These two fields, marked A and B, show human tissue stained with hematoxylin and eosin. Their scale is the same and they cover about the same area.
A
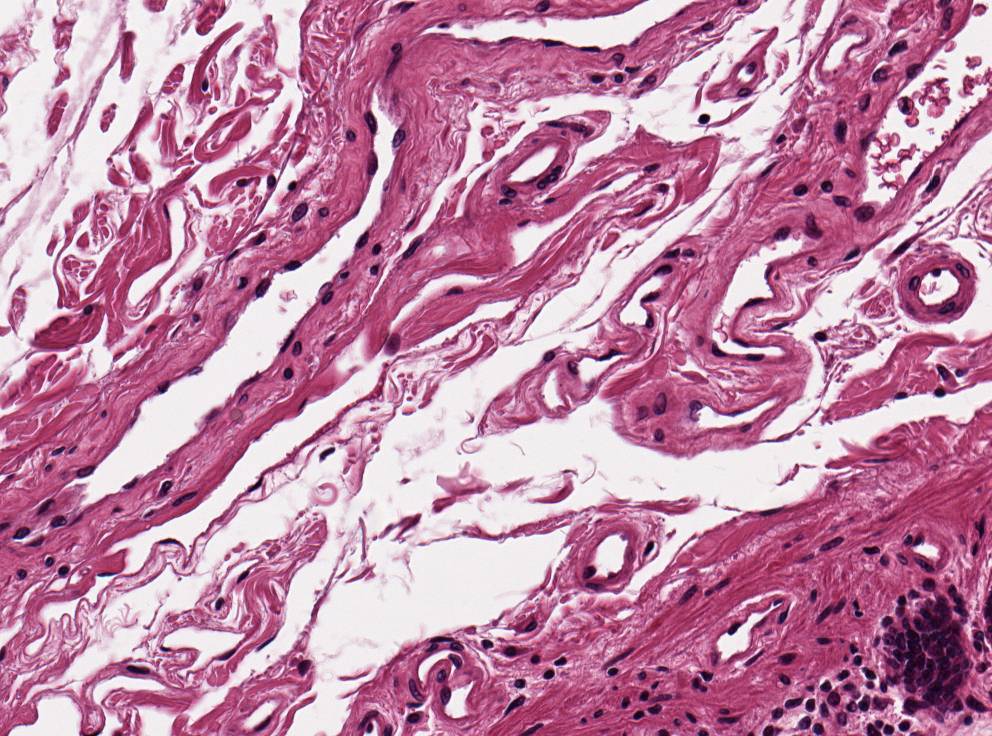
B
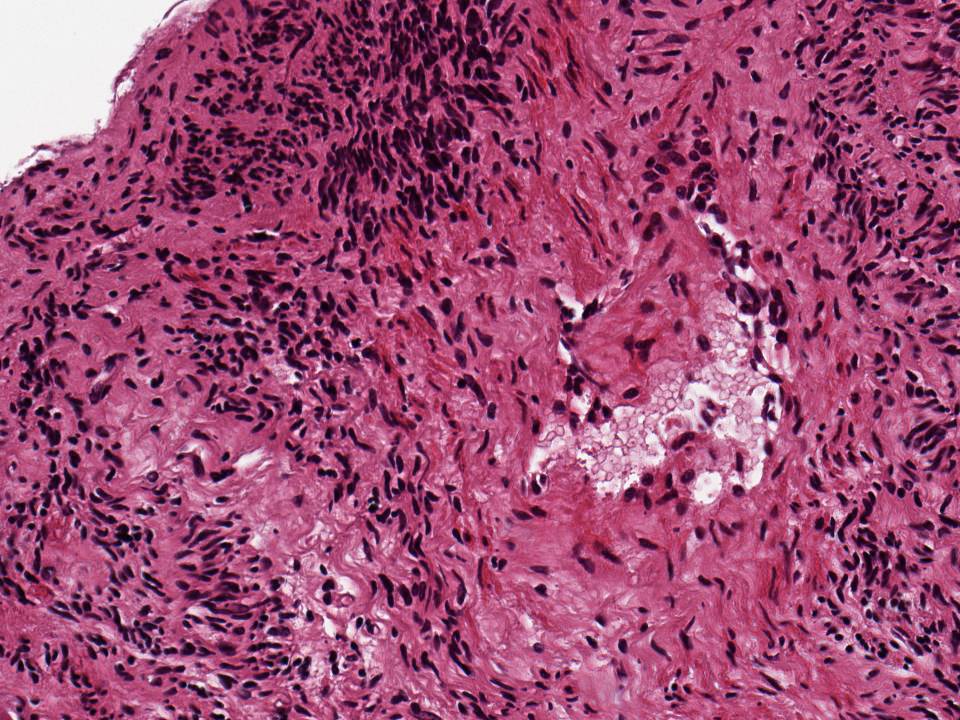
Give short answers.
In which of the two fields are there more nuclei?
B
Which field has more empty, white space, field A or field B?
A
